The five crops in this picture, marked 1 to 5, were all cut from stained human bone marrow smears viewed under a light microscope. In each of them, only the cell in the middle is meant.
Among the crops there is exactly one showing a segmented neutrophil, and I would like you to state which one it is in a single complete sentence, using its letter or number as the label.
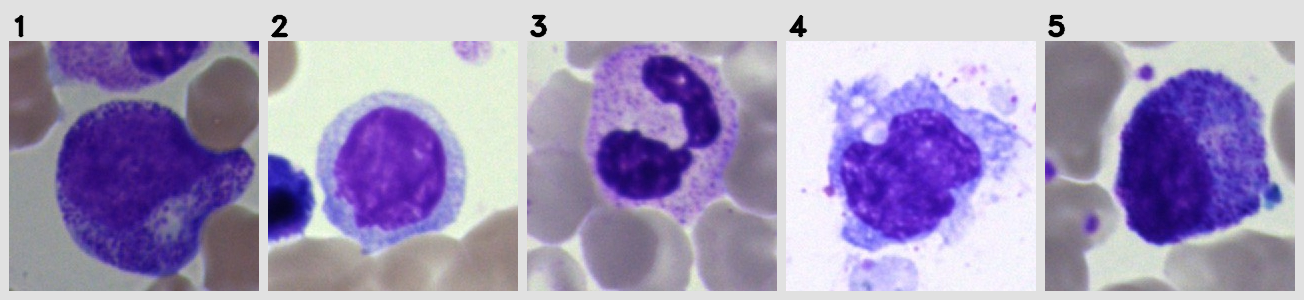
Of these crops, it is crop 3 that shows a segmented neutrophil.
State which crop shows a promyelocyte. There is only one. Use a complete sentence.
Crop 5, of the crops presented, is the one showing a promyelocyte.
